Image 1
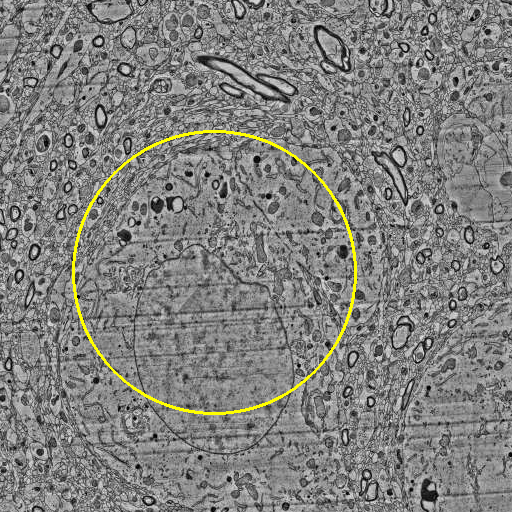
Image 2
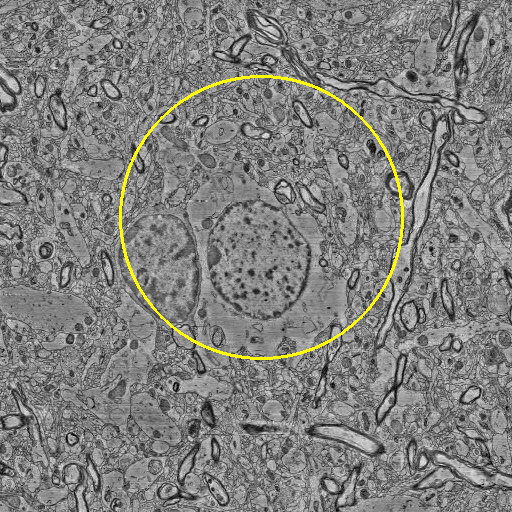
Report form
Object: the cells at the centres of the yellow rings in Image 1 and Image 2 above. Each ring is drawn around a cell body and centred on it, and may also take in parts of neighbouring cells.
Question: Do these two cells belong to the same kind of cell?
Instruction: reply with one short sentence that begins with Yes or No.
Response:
No, they belong to two kinds of cell.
